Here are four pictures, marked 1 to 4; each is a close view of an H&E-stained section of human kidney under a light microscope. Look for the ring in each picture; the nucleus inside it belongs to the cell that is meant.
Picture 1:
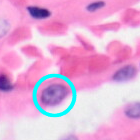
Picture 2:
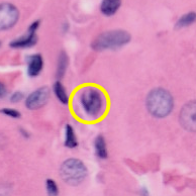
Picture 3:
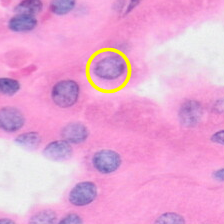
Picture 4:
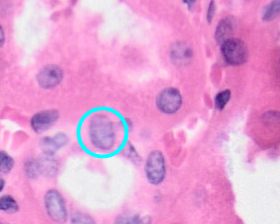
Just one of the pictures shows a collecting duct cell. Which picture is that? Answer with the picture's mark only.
4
